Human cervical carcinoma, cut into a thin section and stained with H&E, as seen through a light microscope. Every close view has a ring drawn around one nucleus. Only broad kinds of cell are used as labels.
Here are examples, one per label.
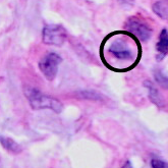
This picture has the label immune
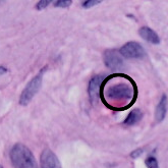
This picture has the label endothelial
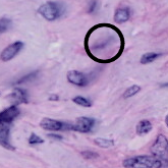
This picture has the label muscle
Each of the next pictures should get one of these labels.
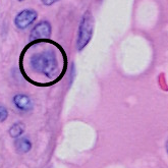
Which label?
muscle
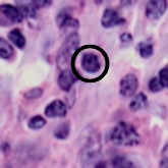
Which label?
immune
